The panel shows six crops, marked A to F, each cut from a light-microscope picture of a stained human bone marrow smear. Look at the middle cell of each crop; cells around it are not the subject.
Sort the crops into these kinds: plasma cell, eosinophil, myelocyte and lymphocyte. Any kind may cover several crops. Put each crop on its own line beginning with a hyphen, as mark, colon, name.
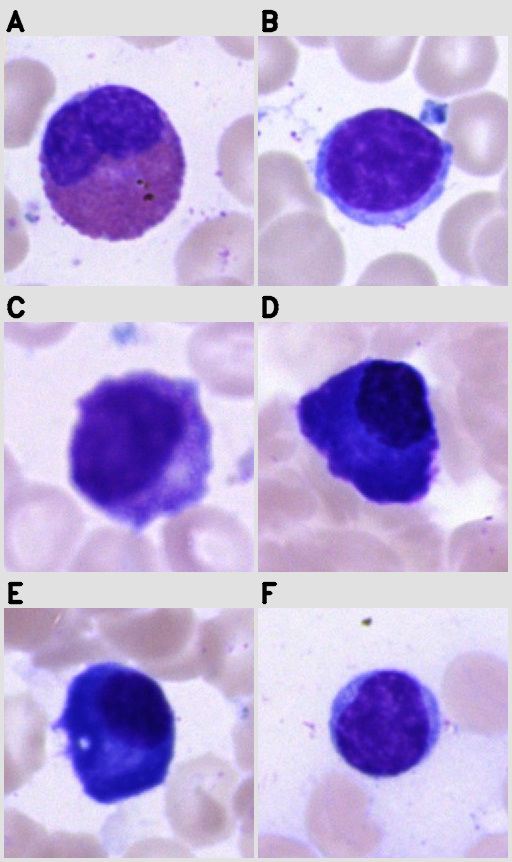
- A: eosinophil
- B: lymphocyte
- C: myelocyte
- D: plasma cell
- E: plasma cell
- F: lymphocyte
